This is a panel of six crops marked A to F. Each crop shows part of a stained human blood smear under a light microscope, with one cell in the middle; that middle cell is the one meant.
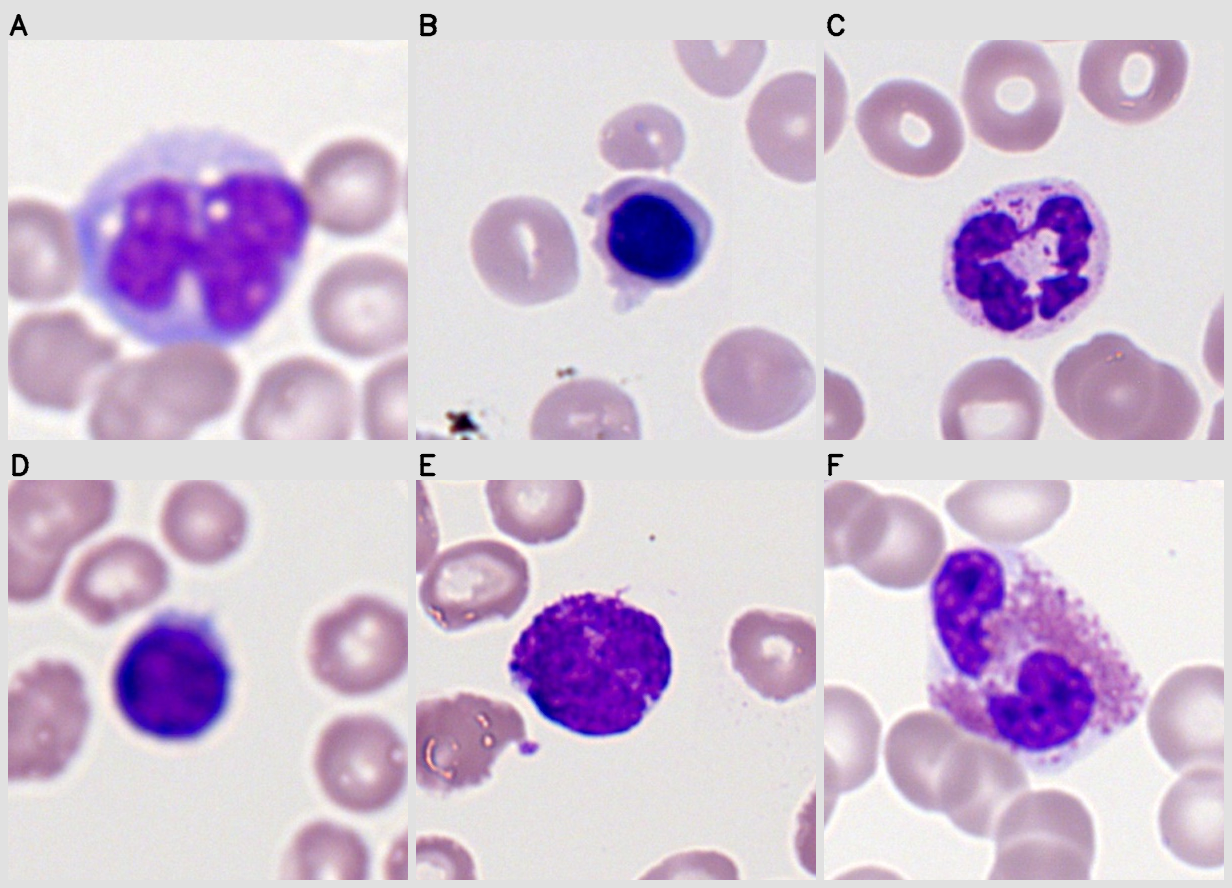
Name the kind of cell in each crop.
A: monocyte
B: erythroblast
C: segmented neutrophil
D: lymphocyte
E: basophil
F: eosinophil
